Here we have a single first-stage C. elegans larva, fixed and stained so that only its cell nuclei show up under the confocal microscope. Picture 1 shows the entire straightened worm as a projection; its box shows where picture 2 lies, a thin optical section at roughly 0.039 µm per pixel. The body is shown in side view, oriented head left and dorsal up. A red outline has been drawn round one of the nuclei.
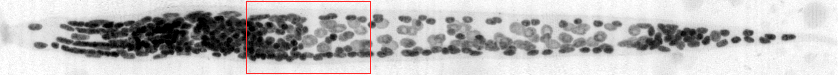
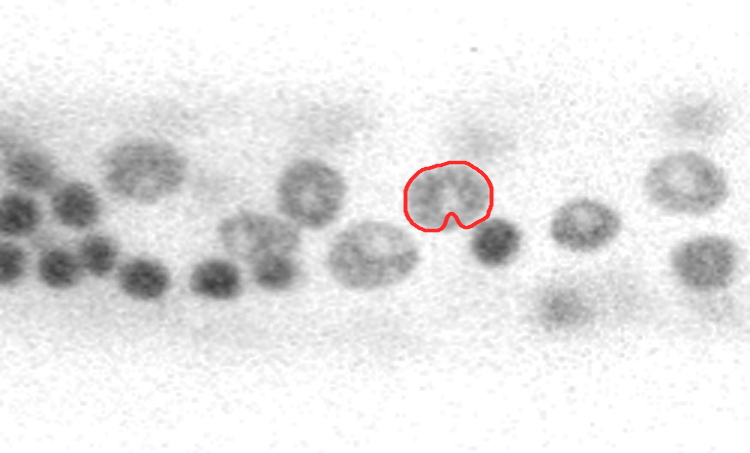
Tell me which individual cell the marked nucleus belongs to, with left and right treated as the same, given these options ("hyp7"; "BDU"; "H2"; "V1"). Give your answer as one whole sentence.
The cell whose nucleus is marked is hyp7, a hypodermal cell (hyp).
